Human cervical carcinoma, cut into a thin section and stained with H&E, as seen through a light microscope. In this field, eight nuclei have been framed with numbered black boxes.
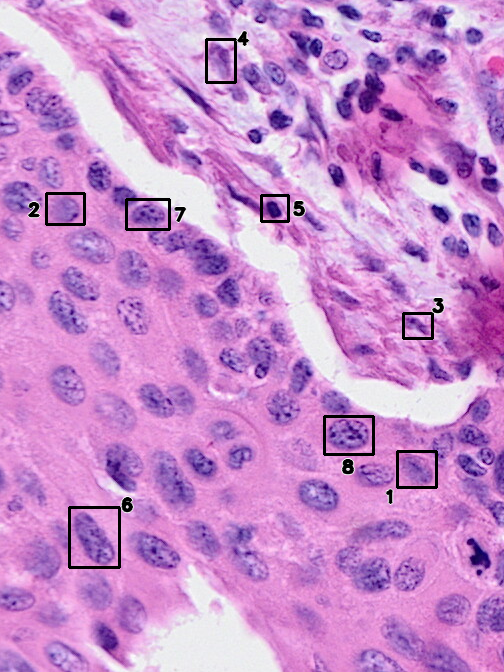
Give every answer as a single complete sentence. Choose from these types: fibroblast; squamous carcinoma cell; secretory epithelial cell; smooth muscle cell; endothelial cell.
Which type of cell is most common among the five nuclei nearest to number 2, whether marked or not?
Most of the five nuclei nearest to number 2 are those of squamous carcinoma cells.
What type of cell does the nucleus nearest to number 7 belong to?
Number 7 lies closest to the nucleus of a squamous carcinoma cell.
